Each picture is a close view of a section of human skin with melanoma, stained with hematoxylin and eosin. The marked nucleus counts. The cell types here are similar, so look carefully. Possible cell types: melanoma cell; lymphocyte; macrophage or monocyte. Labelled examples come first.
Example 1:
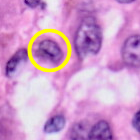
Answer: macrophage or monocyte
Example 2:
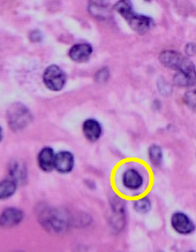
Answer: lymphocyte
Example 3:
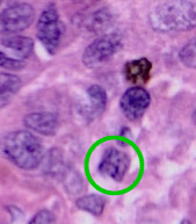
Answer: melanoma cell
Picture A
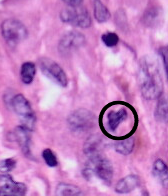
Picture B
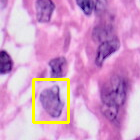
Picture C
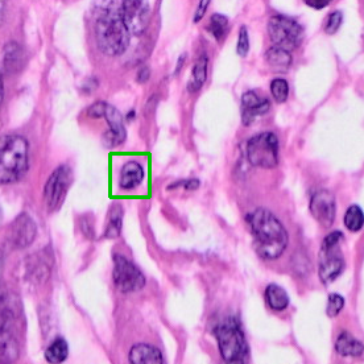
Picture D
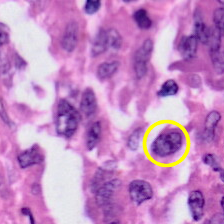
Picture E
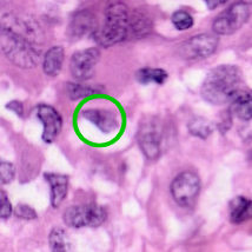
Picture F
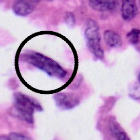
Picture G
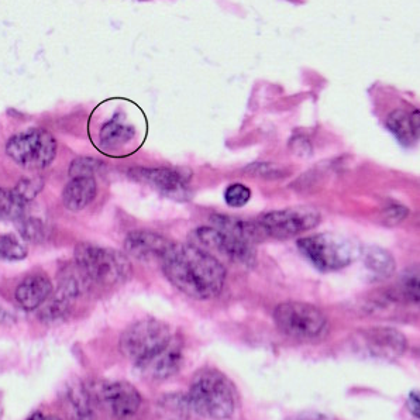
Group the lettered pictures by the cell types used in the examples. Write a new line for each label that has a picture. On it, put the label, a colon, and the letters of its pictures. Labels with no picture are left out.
melanoma cell: D, E, F
lymphocyte: A, C
macrophage or monocyte: B, G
